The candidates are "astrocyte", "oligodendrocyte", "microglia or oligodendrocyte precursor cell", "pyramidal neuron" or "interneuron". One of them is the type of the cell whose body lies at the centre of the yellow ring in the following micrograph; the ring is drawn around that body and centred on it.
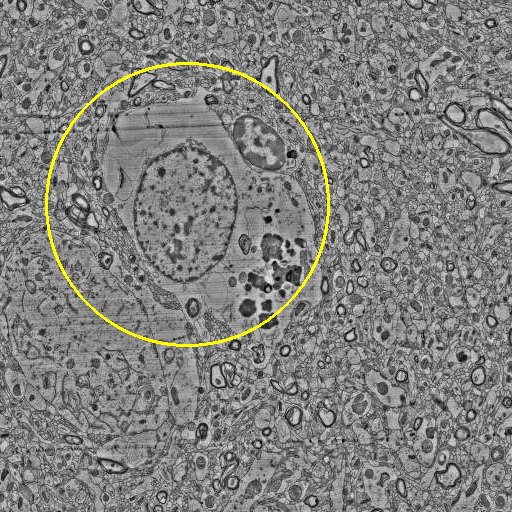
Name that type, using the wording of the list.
astrocyte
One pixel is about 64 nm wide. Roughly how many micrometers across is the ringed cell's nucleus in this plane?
The nucleus measures about 9 by 7 micrometres in this plane.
